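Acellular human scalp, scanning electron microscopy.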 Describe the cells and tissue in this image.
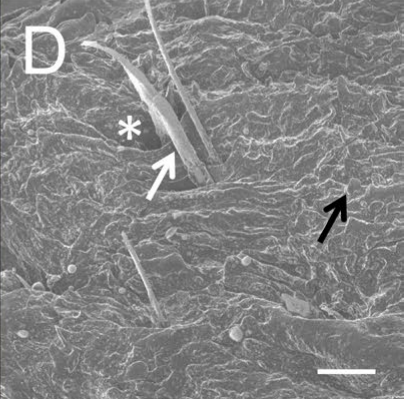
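The surface is made of wavy, interwoven fibrous ridges with no covering sheet of flat cells. A long slender hair shaft runs out of a dark pit in this fibrous surface, and a few thinner fibres lie nearby. The exposed fibrous surface is the dermis, and the pit is the dermal entrance to the hair follicle.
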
